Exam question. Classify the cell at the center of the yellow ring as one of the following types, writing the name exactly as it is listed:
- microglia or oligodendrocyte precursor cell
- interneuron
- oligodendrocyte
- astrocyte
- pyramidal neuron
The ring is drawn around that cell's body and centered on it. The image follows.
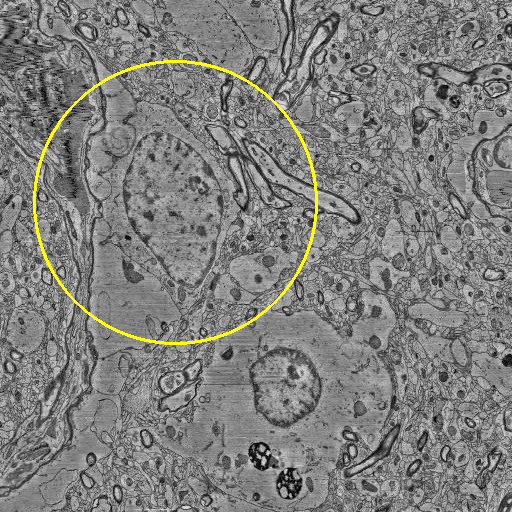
microglia or oligodendrocyte precursor cell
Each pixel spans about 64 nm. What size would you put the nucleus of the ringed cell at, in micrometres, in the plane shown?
Approximately 10 by 6 micrometers, which makes the nucleus clearly longer than it is wide in this plane.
